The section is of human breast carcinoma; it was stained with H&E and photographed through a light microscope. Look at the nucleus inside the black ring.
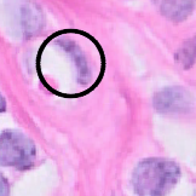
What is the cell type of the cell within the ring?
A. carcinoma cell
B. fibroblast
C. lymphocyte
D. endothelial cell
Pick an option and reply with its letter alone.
D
